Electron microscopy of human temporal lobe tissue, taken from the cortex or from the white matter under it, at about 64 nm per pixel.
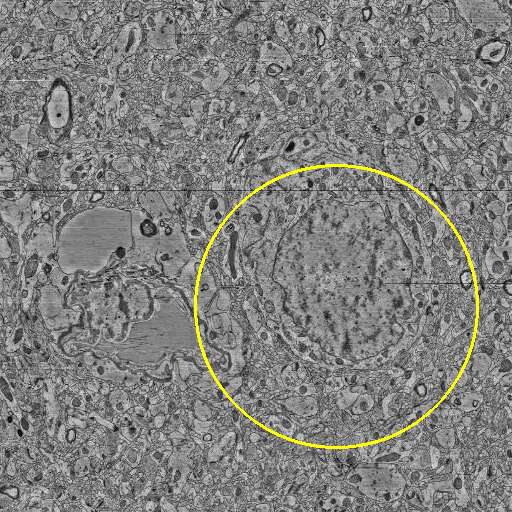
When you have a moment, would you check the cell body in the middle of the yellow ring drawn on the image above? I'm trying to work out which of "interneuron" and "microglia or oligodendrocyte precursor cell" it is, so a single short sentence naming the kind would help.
This cell body belongs to an interneuron.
